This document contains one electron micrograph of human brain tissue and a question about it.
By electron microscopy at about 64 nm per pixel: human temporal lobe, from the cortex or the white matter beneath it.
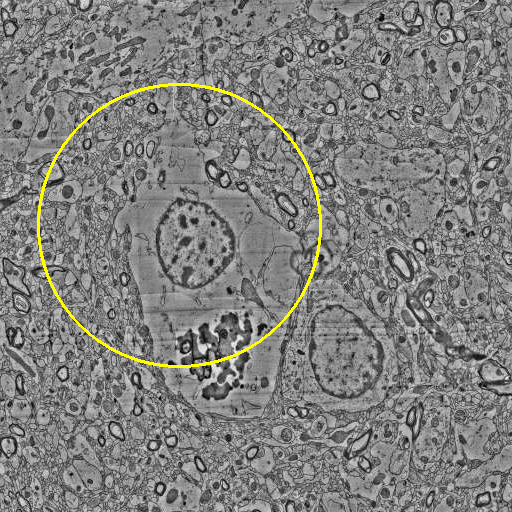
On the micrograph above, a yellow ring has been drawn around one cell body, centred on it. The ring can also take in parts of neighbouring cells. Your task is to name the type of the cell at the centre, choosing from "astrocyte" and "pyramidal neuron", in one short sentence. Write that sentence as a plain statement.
Here the ring is centred on an astrocyte.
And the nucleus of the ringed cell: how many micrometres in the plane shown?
About 5 micrometres across in this plane.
